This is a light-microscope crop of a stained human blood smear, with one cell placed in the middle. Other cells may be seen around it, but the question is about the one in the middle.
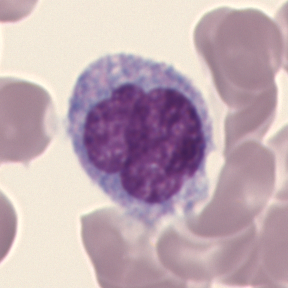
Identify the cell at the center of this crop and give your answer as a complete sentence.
The cell in the middle of this crop is a monocyte.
